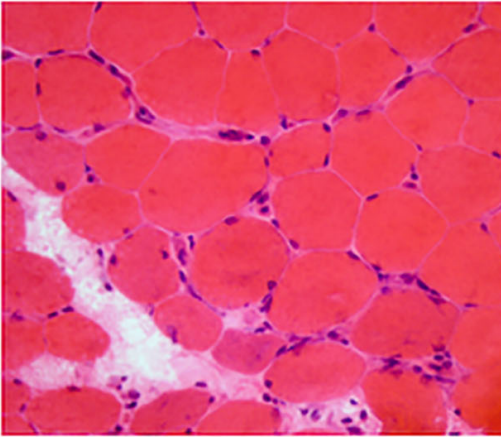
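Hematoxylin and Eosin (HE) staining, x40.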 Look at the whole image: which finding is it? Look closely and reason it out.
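Fibers next to the pale loose connective tissue at lower left are smaller and more rounded than those further in. Fiber size varies across the field. The answer: perifascicular atrophy.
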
